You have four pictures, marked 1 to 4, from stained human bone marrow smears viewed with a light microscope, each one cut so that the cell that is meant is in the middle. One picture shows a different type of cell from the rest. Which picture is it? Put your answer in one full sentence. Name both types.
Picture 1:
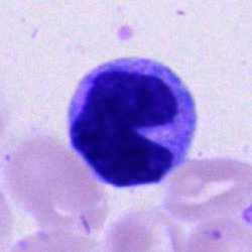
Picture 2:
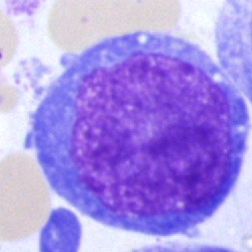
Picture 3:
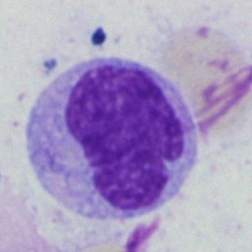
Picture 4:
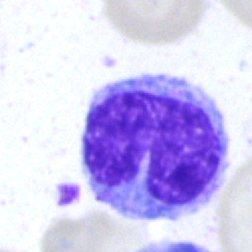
The others show monocytes, but picture 2 shows a blast.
